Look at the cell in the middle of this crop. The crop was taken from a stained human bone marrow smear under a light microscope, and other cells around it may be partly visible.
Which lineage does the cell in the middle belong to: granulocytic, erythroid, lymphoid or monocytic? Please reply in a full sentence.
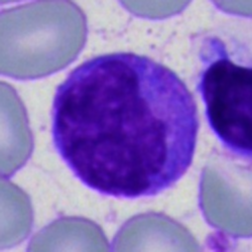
Regarding the central cell, its lineage is monocytic.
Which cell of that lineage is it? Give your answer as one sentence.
The cell sitting right in the middle is a monocyte.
